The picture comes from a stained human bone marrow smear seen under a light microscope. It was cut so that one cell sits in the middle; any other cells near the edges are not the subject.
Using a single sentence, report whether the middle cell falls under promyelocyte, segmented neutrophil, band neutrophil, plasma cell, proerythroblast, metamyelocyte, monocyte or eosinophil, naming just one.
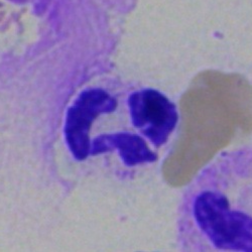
The cell positioned in the middle of the field is a segmented neutrophil.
